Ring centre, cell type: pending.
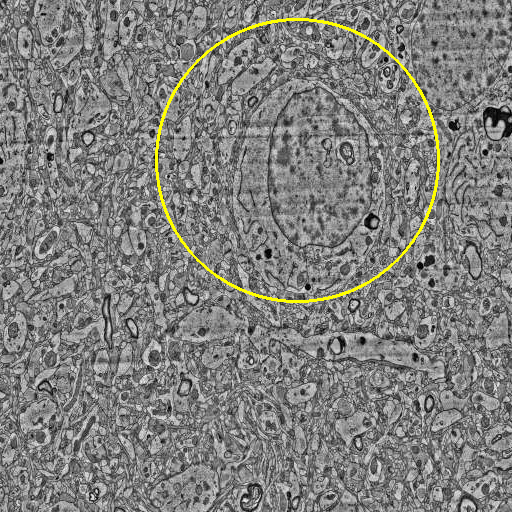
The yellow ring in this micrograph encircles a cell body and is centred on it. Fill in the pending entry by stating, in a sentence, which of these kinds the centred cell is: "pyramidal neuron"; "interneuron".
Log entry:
The centred cell is recorded as a pyramidal neuron.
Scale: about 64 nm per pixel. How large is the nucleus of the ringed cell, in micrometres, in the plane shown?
Roughly 10 by 7 micrometres is the size of the nucleus in this plane.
